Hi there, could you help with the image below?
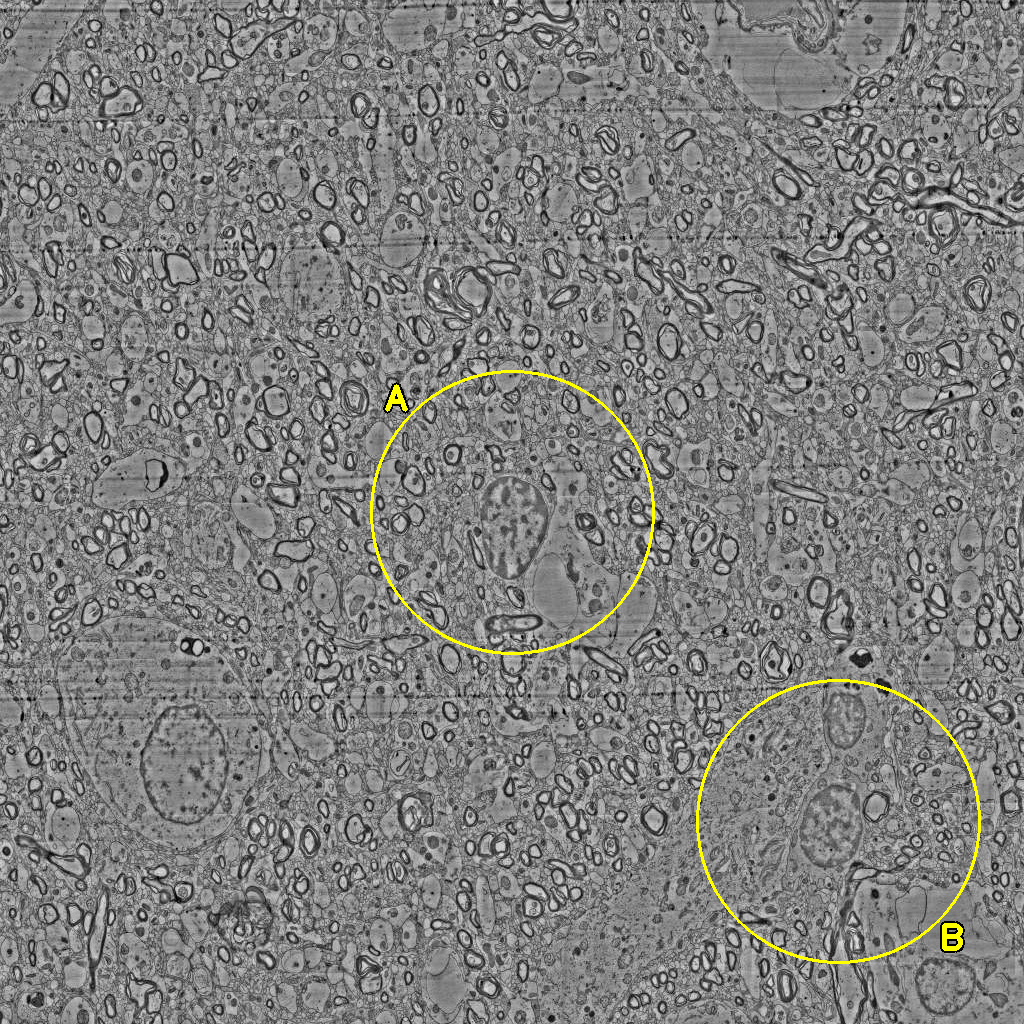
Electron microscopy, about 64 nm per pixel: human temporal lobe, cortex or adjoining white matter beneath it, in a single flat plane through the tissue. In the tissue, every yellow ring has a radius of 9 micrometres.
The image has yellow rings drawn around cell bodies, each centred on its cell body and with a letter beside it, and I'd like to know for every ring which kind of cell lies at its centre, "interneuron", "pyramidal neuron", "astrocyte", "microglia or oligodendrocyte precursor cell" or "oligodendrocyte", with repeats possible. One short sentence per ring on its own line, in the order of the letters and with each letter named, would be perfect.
Ring A is placed around a microglial cell or oligodendrocyte precursor cell.
Ring B is placed around an oligodendrocyte.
